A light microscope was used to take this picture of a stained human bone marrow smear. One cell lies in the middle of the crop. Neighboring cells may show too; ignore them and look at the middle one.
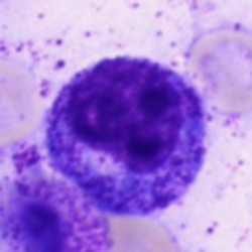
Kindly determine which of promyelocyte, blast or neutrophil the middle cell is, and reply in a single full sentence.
In the middle of this smear crop, the cell is a promyelocyte.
